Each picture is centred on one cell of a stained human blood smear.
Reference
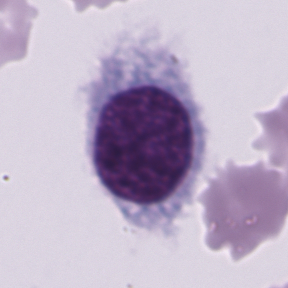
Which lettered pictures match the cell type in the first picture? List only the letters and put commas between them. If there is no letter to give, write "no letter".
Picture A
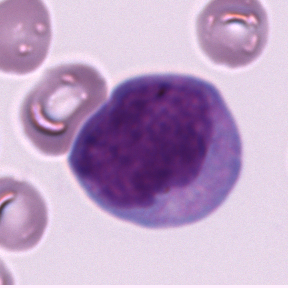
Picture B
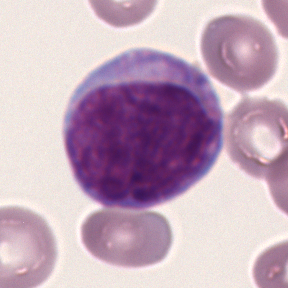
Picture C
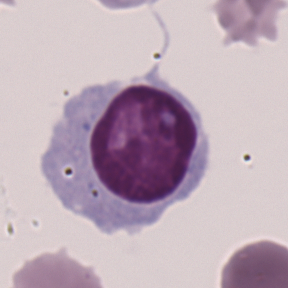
C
